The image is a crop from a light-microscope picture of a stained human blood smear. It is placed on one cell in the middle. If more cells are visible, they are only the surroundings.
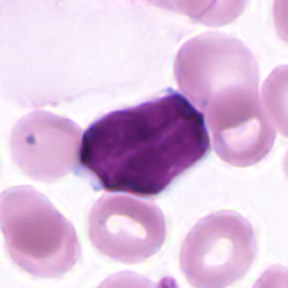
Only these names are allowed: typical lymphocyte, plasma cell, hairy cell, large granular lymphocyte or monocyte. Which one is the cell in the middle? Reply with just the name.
typical lymphocyte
